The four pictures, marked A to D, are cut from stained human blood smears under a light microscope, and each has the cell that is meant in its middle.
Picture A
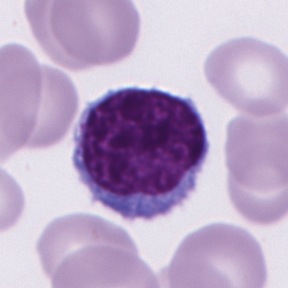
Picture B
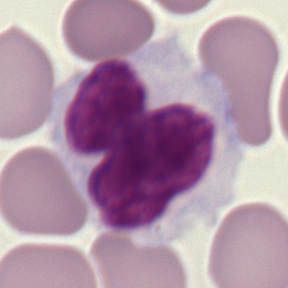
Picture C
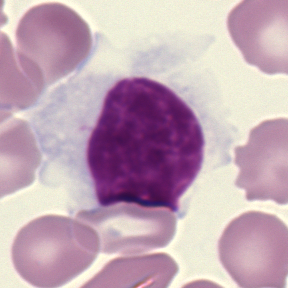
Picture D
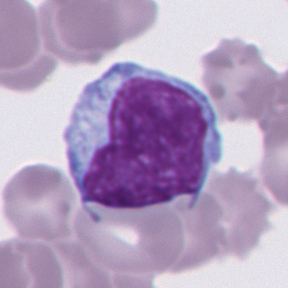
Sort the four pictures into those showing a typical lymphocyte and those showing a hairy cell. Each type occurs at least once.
A: typical lymphocyte
B: hairy cell
C: hairy cell
D: typical lymphocyte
